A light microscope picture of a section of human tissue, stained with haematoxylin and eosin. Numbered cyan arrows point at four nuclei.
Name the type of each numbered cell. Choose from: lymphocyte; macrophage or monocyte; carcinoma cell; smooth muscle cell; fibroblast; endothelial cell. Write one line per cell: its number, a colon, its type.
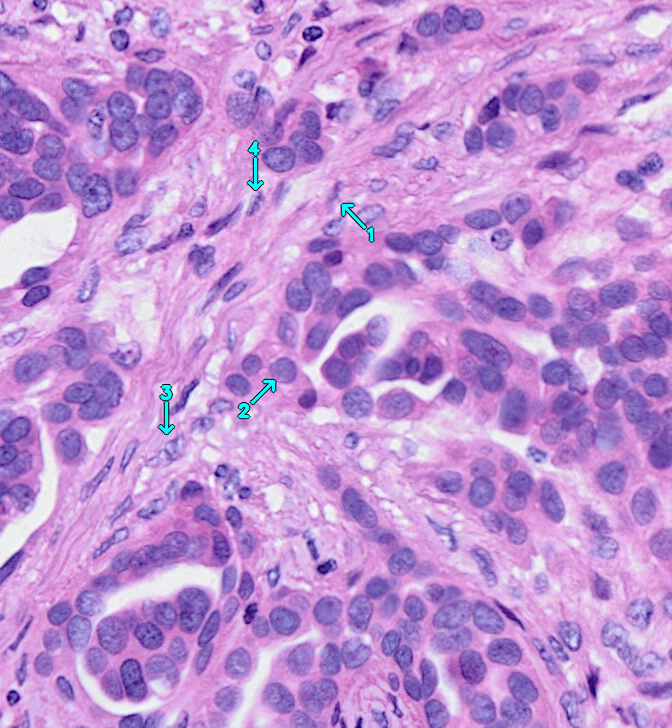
1: fibroblast
2: carcinoma cell
3: fibroblast
4: fibroblast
